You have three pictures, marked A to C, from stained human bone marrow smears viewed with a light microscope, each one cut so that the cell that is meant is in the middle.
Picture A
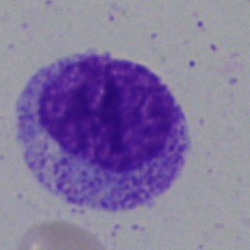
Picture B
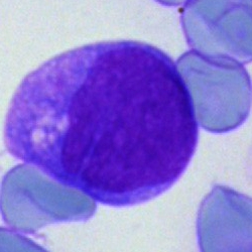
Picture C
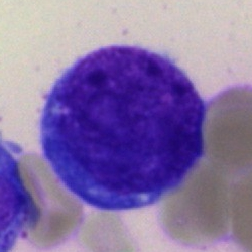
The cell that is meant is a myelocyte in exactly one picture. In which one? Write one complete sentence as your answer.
The myelocyte is the one in picture A.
